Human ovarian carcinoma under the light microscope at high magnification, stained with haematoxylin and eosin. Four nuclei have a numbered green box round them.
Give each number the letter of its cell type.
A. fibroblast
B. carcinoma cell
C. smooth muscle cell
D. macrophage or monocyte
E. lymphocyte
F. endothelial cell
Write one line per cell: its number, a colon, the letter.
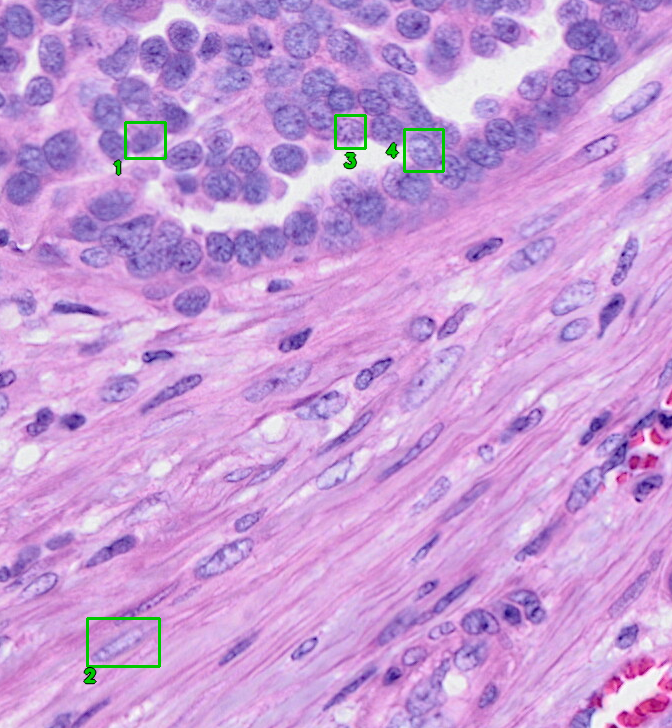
1: B
2: A
3: B
4: B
